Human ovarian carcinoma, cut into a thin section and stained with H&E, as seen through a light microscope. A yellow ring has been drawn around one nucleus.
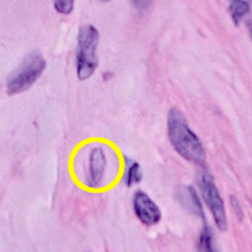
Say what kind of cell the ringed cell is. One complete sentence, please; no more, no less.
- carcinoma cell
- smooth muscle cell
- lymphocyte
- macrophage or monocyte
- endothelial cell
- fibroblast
The identity of the ringed cell is that of a smooth muscle cell.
